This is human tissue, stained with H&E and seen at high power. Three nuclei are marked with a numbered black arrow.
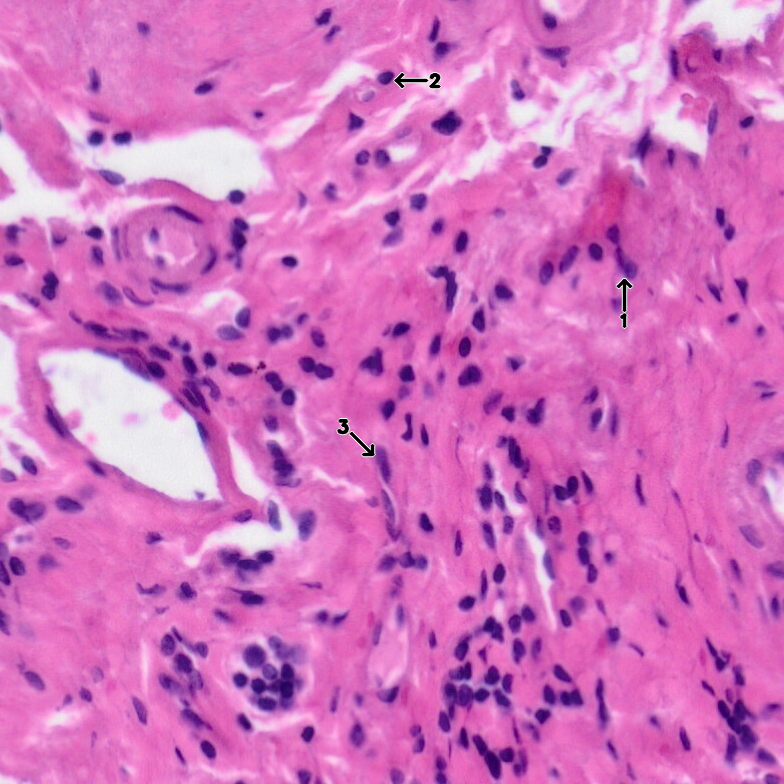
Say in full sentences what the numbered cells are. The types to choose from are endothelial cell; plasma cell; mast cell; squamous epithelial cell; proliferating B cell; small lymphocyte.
Cells 1 and 3 are endothelial cells. Cell 2 is a mast cell.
